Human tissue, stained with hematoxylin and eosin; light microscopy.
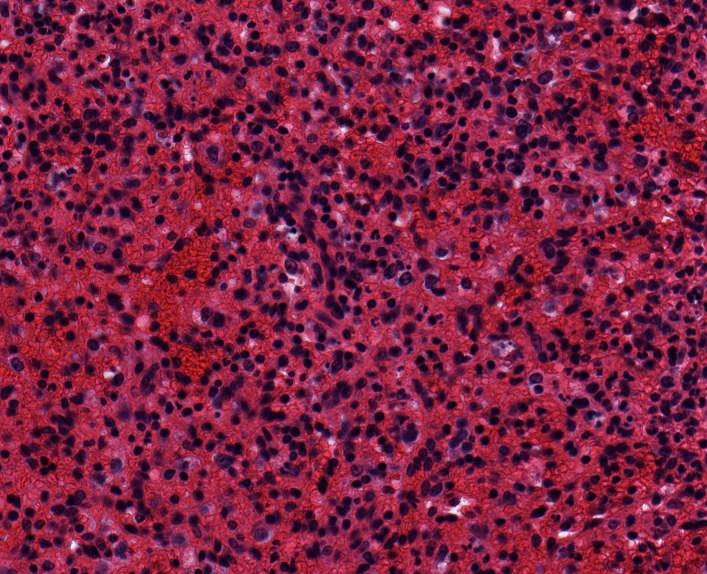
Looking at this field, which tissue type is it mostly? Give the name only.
red pulp of the spleen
